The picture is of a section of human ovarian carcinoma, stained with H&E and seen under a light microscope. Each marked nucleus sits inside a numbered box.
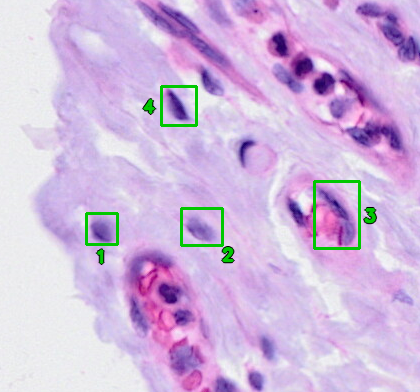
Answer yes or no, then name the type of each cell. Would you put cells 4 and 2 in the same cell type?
Yes, in this tissue section, cells 4 and 2 are both fibroblasts.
